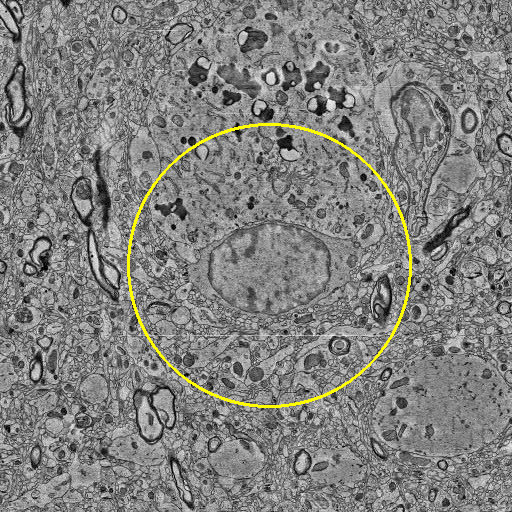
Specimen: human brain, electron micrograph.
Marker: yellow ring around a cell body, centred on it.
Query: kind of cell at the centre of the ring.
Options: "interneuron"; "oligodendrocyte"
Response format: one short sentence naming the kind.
This cell body belongs to an oligodendrocyte.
